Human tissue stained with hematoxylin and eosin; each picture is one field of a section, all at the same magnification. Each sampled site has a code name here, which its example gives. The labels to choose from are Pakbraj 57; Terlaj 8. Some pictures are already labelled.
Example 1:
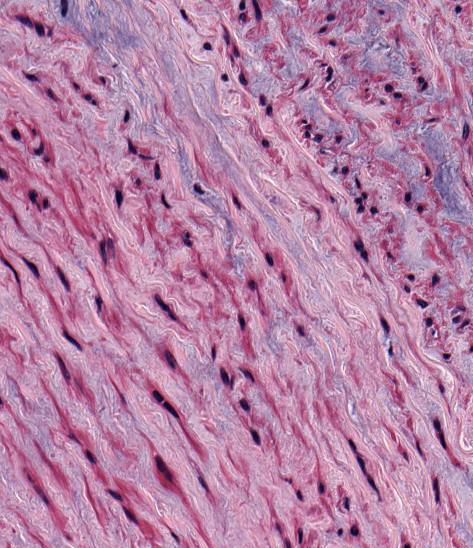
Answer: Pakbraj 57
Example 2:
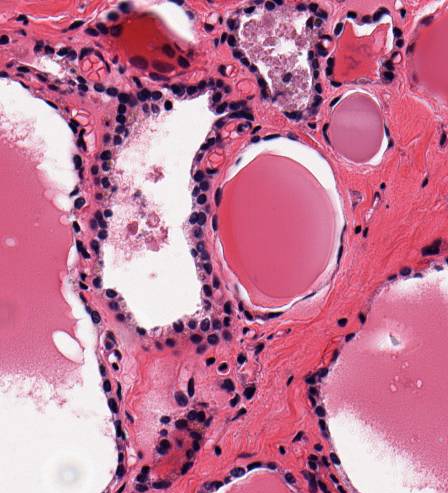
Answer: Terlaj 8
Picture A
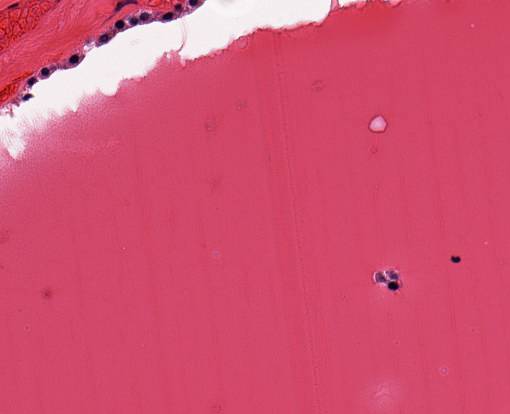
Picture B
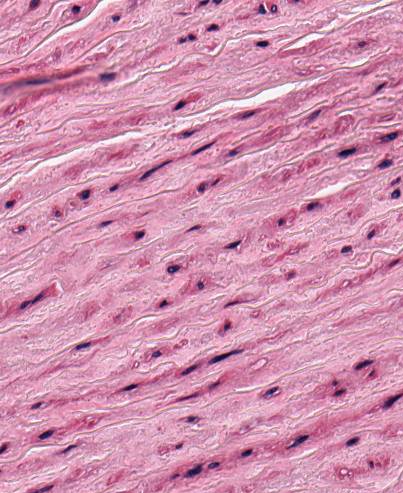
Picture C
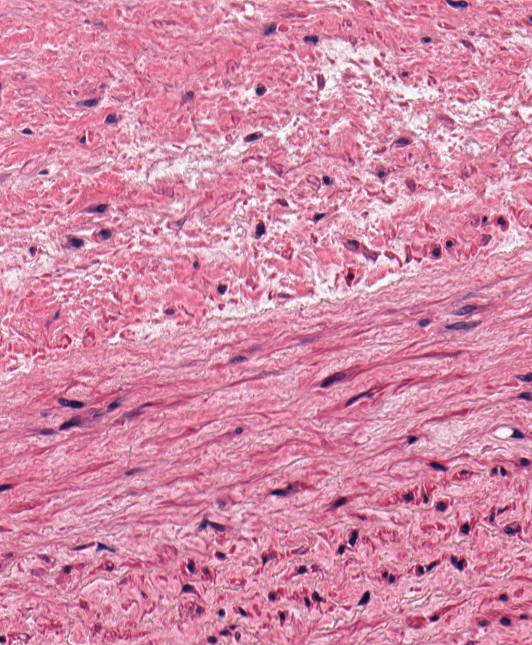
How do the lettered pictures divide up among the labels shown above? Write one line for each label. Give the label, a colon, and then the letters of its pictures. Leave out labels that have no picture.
Pakbraj 57: B, C
Terlaj 8: A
